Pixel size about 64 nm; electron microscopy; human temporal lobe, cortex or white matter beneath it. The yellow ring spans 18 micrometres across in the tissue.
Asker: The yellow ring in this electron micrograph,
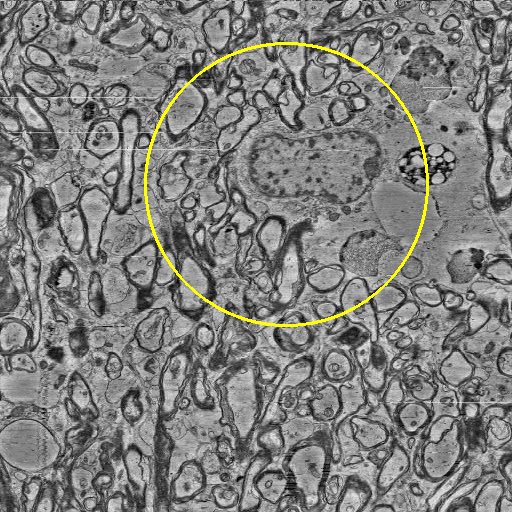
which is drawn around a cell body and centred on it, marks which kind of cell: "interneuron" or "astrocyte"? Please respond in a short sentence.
The marked cell is an astrocyte.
